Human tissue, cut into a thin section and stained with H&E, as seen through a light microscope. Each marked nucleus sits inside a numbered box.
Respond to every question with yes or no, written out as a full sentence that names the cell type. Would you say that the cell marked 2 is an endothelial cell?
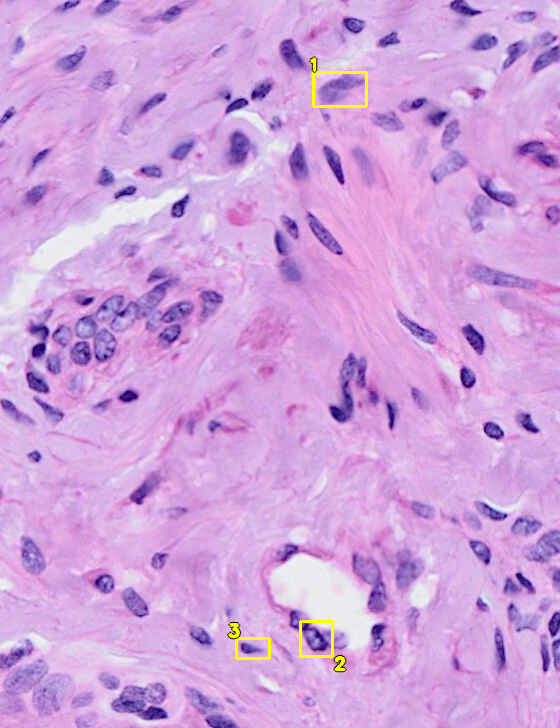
Yes, it is an endothelial cell that number 2 identifies.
